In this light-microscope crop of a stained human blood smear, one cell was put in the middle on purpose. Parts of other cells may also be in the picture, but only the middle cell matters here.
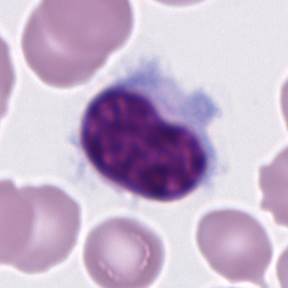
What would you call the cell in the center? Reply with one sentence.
The central cell, amid any neighbouring cells, is a hairy cell.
